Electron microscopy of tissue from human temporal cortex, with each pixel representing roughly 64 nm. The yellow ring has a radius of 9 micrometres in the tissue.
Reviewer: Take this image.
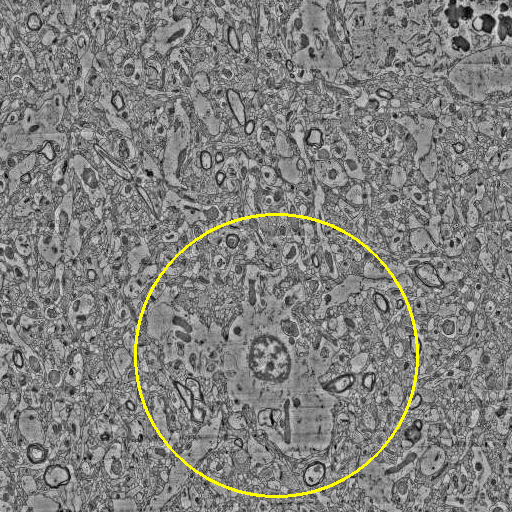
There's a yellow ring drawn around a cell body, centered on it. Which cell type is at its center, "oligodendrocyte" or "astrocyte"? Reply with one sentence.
At the center of the yellow ring is an astrocyte.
